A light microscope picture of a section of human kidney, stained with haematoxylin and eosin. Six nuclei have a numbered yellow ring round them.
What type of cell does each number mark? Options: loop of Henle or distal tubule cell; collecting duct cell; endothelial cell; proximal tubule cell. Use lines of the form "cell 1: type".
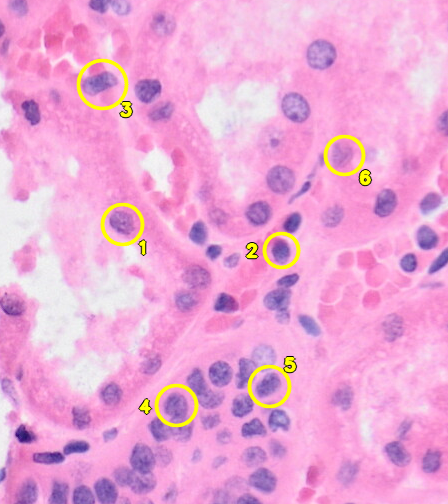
cell 1: proximal tubule cell
cell 2: endothelial cell
cell 3: endothelial cell
cell 4: collecting duct cell
cell 5: collecting duct cell
cell 6: proximal tubule cell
